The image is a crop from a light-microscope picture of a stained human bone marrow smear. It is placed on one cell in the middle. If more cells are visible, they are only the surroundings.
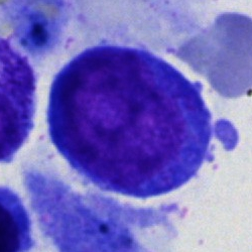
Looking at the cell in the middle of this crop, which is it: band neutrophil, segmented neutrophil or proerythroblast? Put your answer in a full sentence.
As for the cell in the middle, it is a proerythroblast.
